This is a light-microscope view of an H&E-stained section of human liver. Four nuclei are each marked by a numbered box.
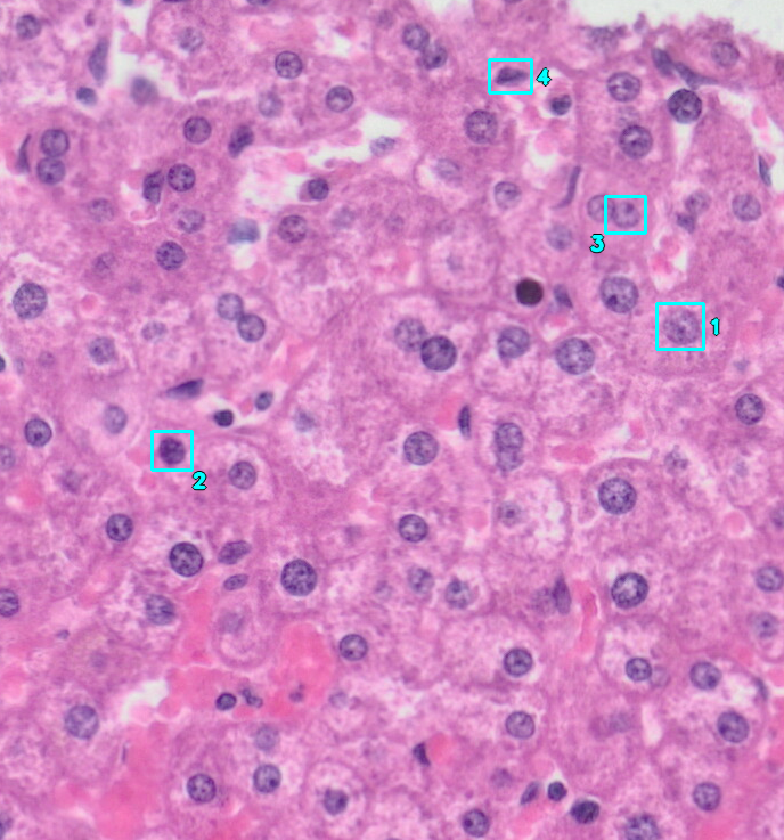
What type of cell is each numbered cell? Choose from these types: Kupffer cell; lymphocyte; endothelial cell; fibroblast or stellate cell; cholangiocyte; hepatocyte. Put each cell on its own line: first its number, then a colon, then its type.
1: hepatocyte
2: hepatocyte
3: hepatocyte
4: endothelial cell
